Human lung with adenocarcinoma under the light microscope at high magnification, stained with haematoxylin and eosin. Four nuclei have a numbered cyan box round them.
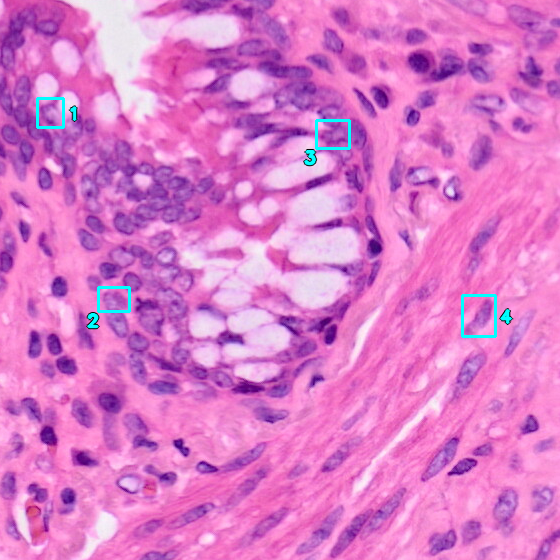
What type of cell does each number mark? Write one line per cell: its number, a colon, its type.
1: ciliated epithelial cell
2: ciliated epithelial cell
3: ciliated epithelial cell
4: smooth muscle cell or pericyte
